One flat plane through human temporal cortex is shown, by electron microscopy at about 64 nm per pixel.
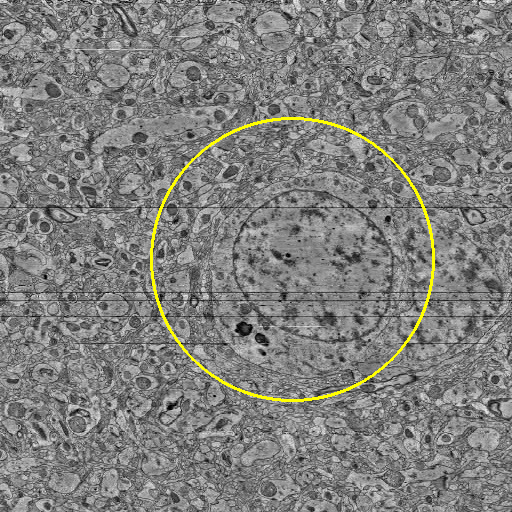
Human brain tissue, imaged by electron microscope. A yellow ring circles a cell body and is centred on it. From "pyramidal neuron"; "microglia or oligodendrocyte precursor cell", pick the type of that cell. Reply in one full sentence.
The cell body at the centre of the yellow ring belongs to a pyramidal neuron.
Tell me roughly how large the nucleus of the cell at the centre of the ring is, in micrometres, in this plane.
Roughly 11 by 9 micrometres in this plane, for the nucleus of the ringed cell.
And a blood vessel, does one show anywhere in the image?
No, the picture includes no blood vessel.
